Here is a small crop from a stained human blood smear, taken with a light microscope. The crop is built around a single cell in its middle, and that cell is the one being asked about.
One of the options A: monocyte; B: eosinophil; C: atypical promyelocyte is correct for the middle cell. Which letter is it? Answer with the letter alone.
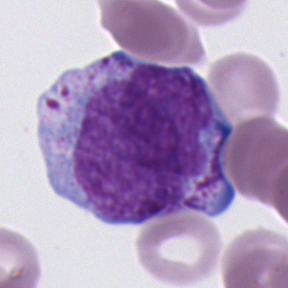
C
